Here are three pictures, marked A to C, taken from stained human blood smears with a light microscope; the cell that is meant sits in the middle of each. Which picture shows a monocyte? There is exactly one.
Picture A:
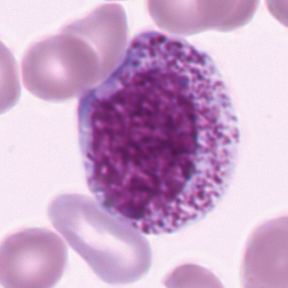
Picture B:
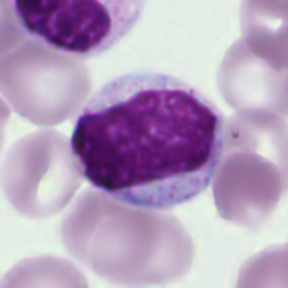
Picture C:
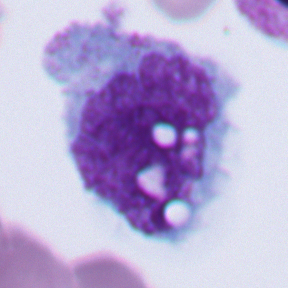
C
